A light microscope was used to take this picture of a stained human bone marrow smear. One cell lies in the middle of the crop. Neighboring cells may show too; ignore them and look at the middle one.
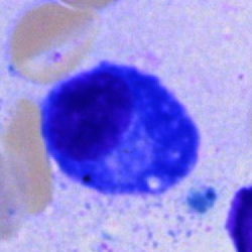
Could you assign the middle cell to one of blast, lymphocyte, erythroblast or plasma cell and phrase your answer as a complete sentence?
The centered cell in this crop is a plasma cell.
